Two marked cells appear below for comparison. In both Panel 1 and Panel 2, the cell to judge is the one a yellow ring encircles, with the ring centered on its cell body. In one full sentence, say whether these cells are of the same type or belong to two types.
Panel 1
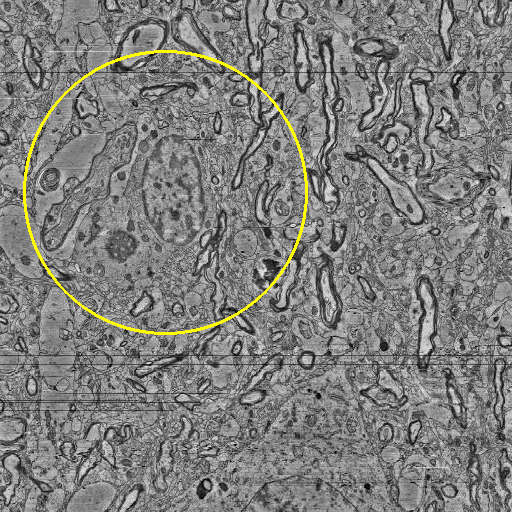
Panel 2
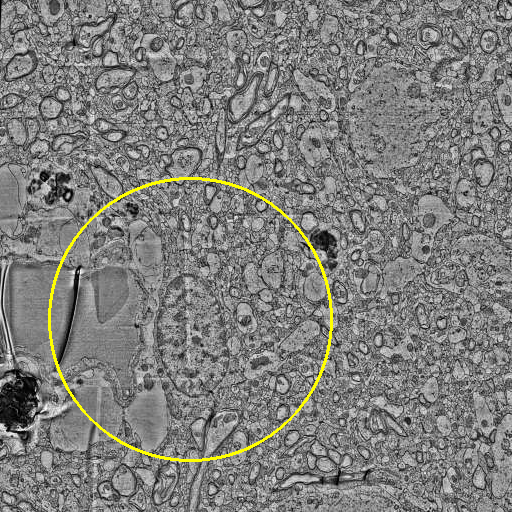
The cell centered in the Panel 1 ring and the one in Panel 2 are of the same type.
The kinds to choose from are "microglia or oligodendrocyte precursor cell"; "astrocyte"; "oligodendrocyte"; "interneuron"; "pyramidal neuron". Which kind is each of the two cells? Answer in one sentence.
Both the first and the second picture show an oligodendrocyte in the ring.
